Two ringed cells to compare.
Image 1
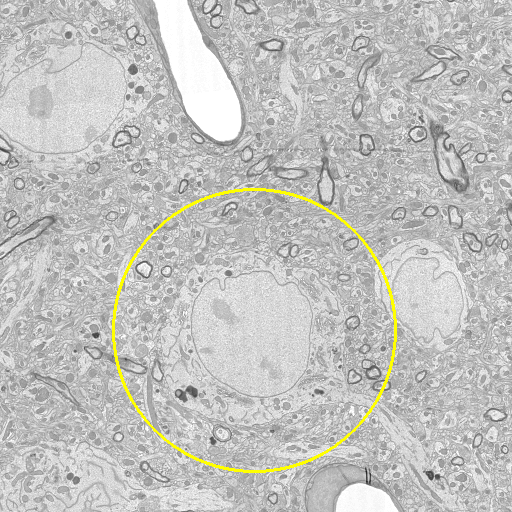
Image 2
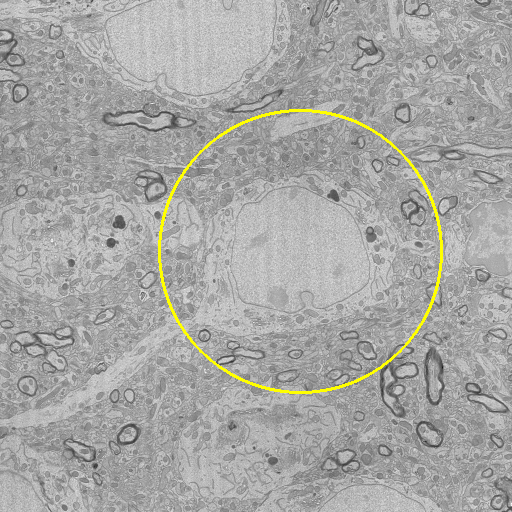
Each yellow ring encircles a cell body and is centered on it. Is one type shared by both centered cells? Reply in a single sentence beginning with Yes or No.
Yes, a single type is shared by the two cells at the centers of the rings.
